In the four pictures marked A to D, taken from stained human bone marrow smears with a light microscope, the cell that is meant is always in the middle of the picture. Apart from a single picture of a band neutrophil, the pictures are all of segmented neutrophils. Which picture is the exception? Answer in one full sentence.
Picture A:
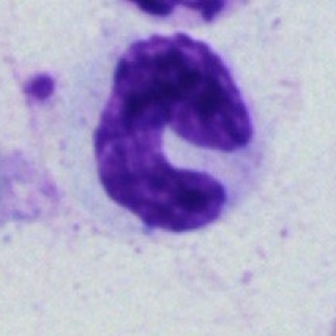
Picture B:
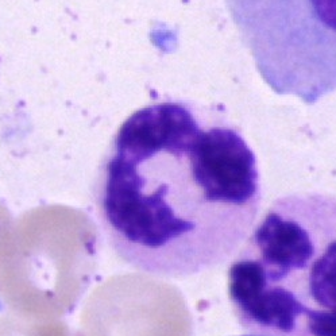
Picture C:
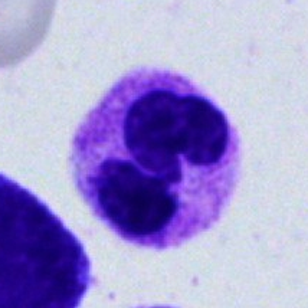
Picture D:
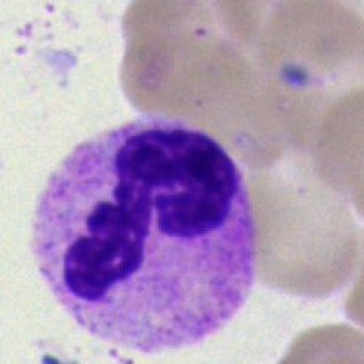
It is picture A that shows the band neutrophil.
